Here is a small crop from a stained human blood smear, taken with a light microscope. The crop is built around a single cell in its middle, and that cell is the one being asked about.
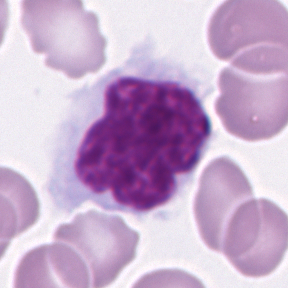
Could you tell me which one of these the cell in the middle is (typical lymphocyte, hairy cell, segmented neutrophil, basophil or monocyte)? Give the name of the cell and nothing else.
hairy cell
